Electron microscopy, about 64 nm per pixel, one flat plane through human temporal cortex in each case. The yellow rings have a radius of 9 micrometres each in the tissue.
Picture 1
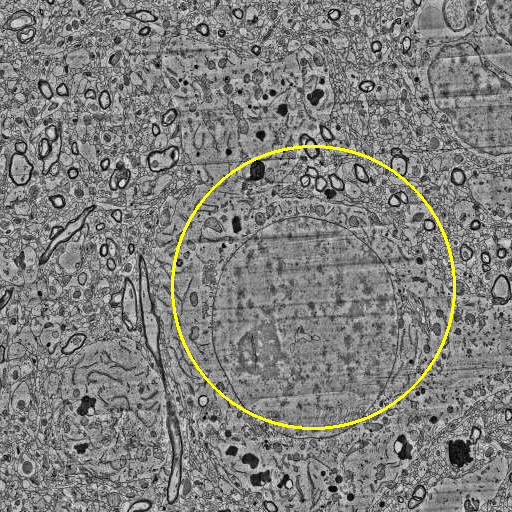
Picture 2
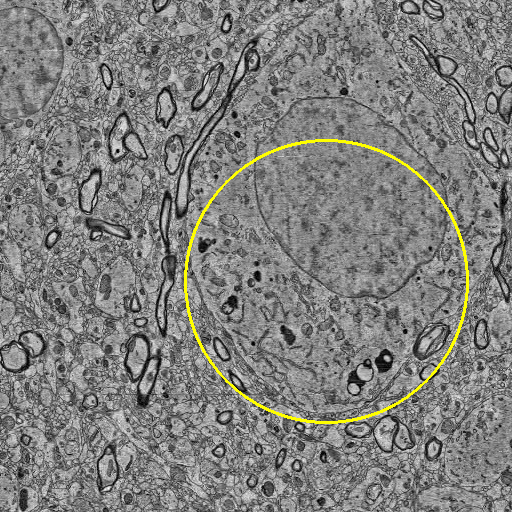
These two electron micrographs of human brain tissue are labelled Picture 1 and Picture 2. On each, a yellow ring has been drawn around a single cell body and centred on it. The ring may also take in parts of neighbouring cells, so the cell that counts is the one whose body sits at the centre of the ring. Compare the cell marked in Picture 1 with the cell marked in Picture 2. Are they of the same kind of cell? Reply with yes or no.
yes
